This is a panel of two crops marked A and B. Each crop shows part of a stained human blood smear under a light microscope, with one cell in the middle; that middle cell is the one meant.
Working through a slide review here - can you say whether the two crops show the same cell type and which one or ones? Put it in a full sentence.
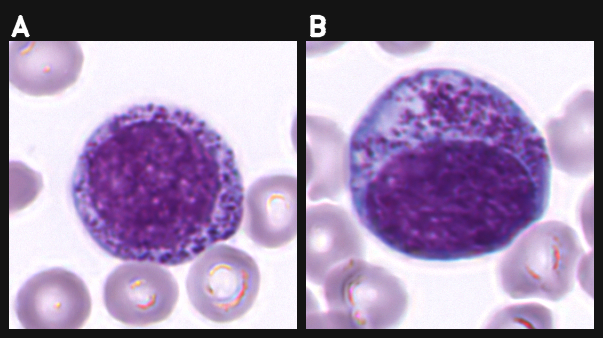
No, crop A features a myelocyte, while crop B features a promyelocyte.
